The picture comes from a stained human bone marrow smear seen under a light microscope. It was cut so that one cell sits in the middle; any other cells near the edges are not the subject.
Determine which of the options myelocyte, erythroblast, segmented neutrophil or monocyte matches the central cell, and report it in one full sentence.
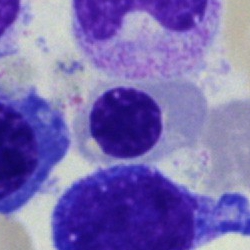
Here the centrally located cell is an erythroblast.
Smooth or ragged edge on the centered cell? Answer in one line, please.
The cell shows a smooth outline that lacks any surface projections.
